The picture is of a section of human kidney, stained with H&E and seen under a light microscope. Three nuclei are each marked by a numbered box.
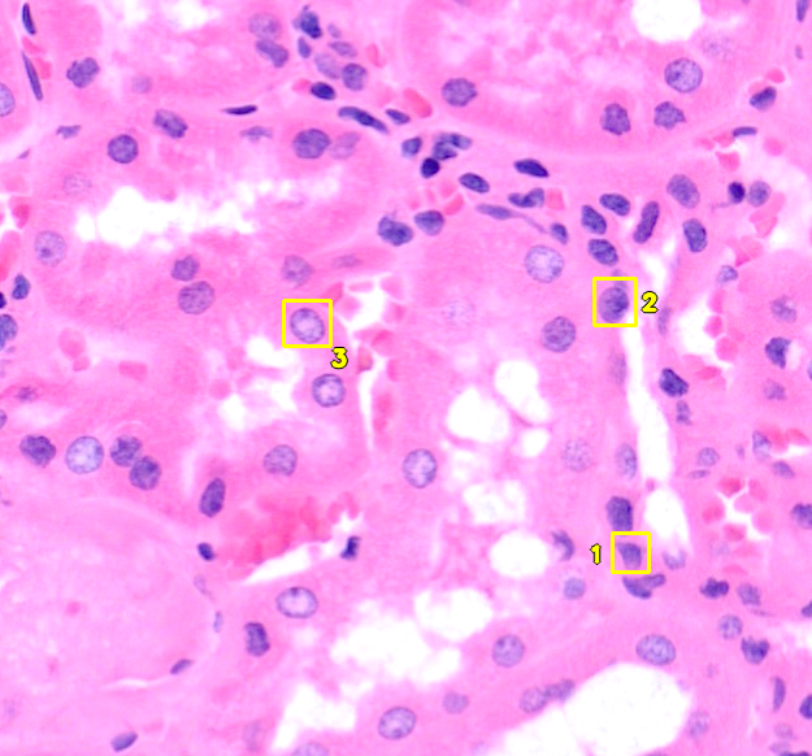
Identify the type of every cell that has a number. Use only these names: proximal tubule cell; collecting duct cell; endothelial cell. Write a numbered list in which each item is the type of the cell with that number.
1. collecting duct cell
2. collecting duct cell
3. proximal tubule cell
